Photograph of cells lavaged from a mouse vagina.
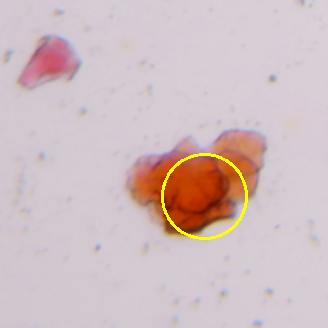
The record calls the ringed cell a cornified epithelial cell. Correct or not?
Correct; it is a cornified epithelial cell.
